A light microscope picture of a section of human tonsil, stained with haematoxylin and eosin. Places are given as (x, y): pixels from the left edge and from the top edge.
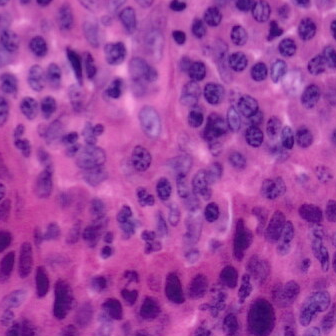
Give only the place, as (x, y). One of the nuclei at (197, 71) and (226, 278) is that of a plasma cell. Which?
(197, 71)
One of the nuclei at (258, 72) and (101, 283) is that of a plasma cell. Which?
(258, 72)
